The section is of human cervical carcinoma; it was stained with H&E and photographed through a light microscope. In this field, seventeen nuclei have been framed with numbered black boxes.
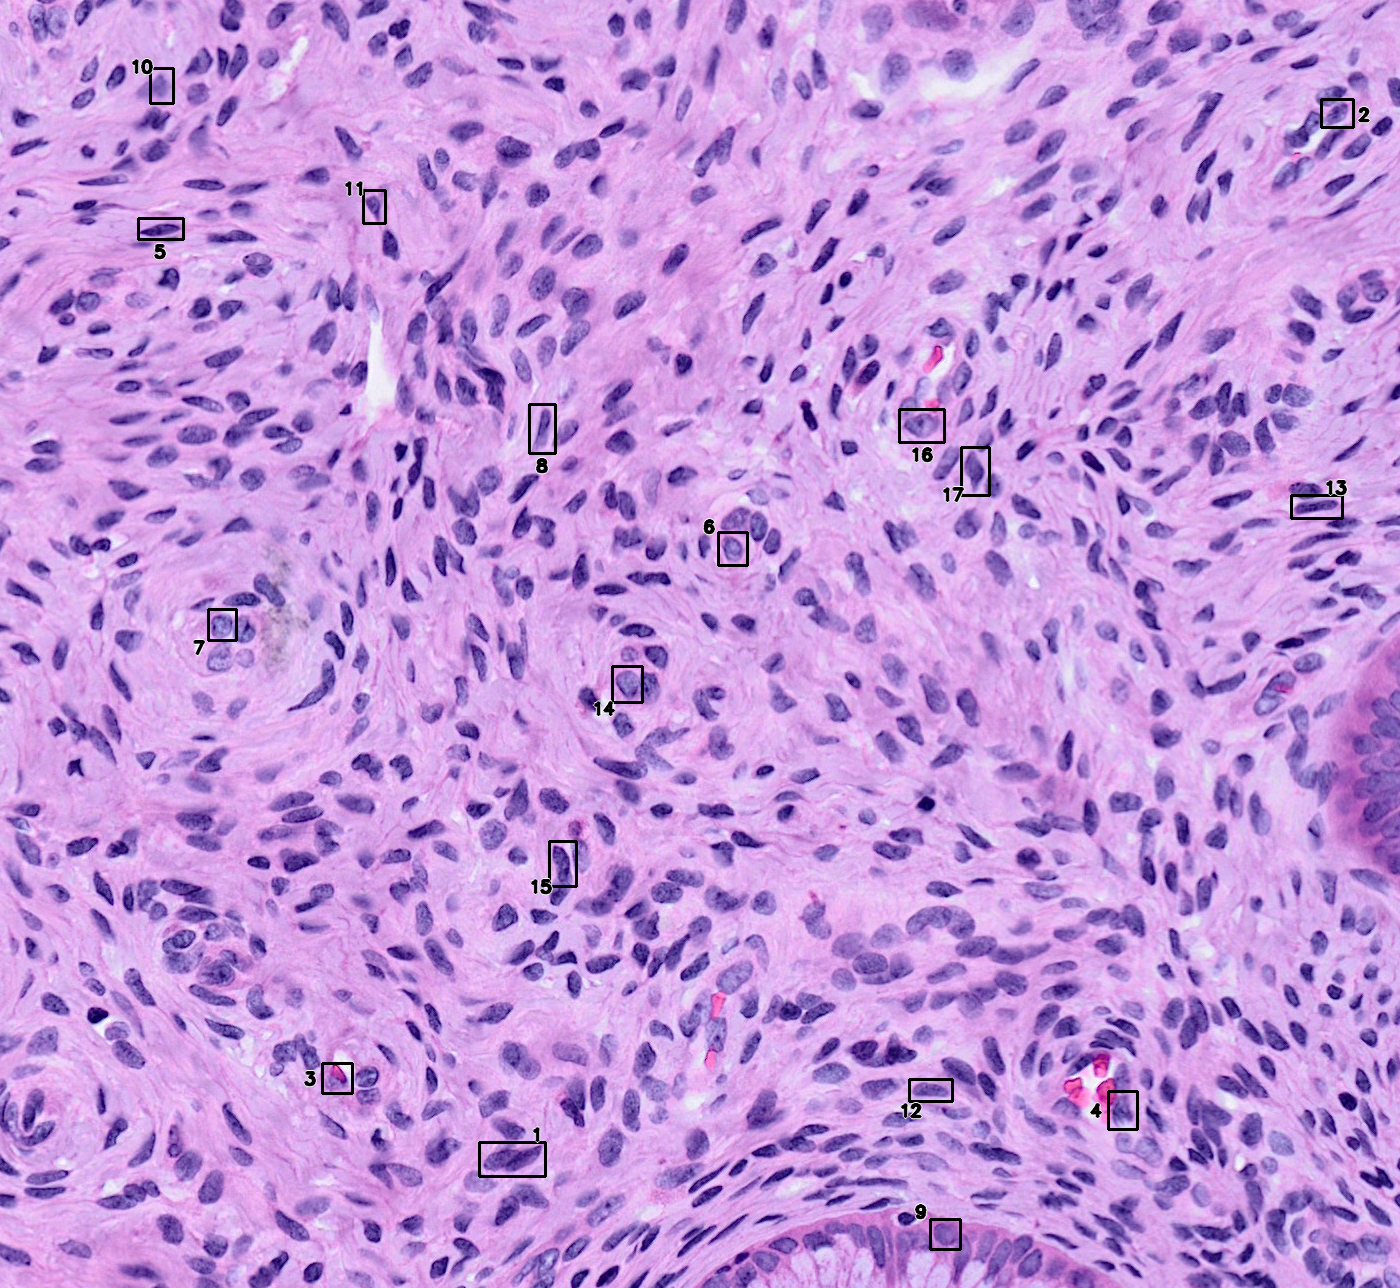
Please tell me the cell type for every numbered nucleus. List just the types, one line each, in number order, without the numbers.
fibroblast
endothelial cell
endothelial cell
endothelial cell
fibroblast
endothelial cell
endothelial cell
fibroblast
secretory epithelial cell
fibroblast
fibroblast
fibroblast
fibroblast
endothelial cell
fibroblast
endothelial cell
fibroblast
